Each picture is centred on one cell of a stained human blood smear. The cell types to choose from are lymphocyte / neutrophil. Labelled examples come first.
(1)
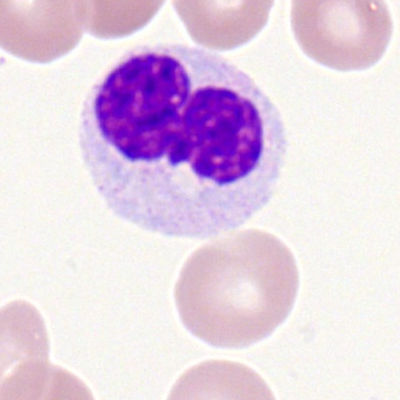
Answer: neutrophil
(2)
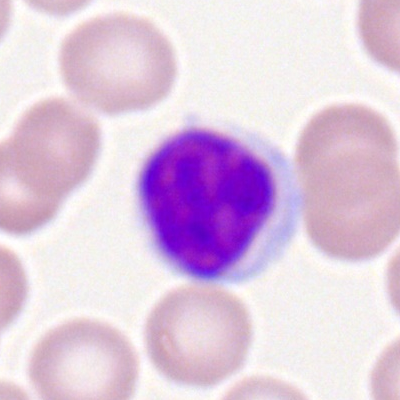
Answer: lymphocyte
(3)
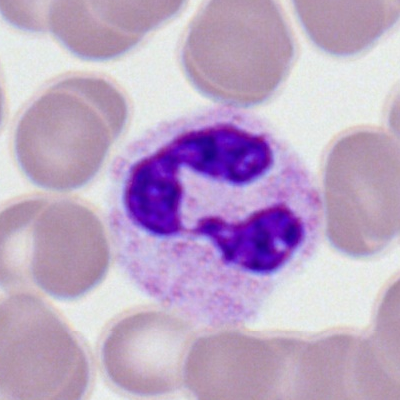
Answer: neutrophil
